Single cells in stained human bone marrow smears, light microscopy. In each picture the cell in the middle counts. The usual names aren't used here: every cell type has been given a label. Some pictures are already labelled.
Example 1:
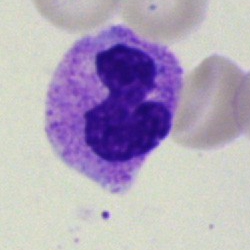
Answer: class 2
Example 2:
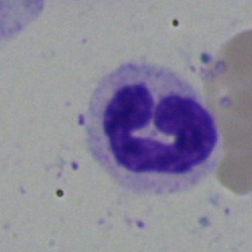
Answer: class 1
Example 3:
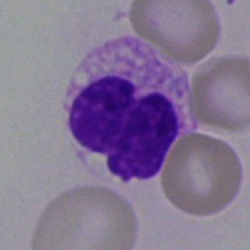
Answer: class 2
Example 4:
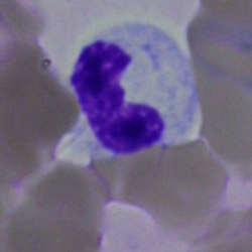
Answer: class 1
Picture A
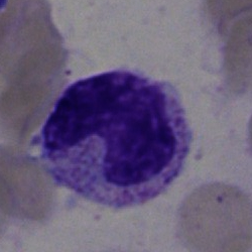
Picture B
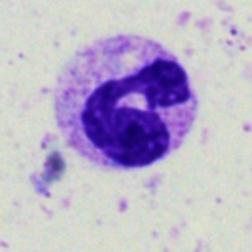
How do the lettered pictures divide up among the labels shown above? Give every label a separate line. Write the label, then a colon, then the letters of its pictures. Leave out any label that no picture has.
class 2: B
class 1: A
